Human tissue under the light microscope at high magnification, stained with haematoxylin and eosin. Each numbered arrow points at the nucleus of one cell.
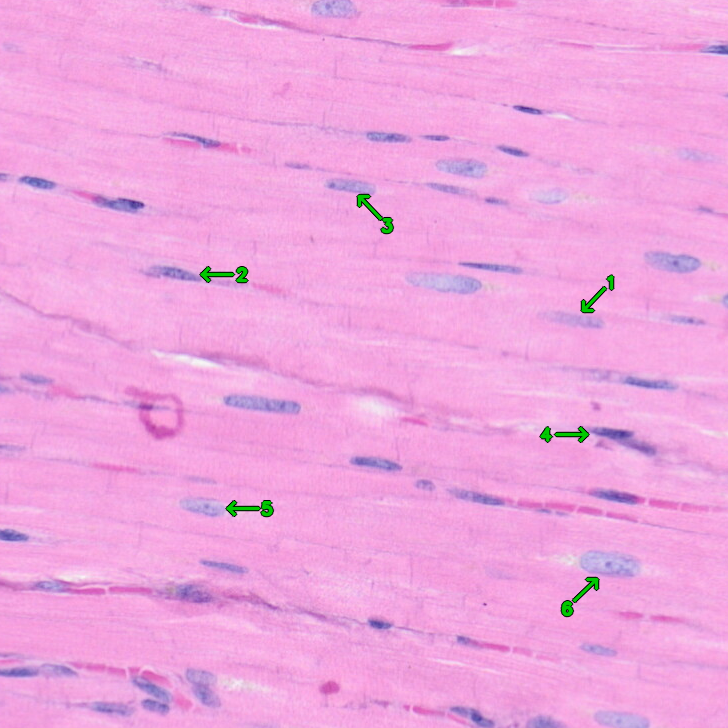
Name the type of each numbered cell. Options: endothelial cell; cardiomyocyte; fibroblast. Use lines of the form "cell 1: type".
cell 1: cardiomyocyte
cell 2: endothelial cell
cell 3: cardiomyocyte
cell 4: endothelial cell
cell 5: cardiomyocyte
cell 6: cardiomyocyte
